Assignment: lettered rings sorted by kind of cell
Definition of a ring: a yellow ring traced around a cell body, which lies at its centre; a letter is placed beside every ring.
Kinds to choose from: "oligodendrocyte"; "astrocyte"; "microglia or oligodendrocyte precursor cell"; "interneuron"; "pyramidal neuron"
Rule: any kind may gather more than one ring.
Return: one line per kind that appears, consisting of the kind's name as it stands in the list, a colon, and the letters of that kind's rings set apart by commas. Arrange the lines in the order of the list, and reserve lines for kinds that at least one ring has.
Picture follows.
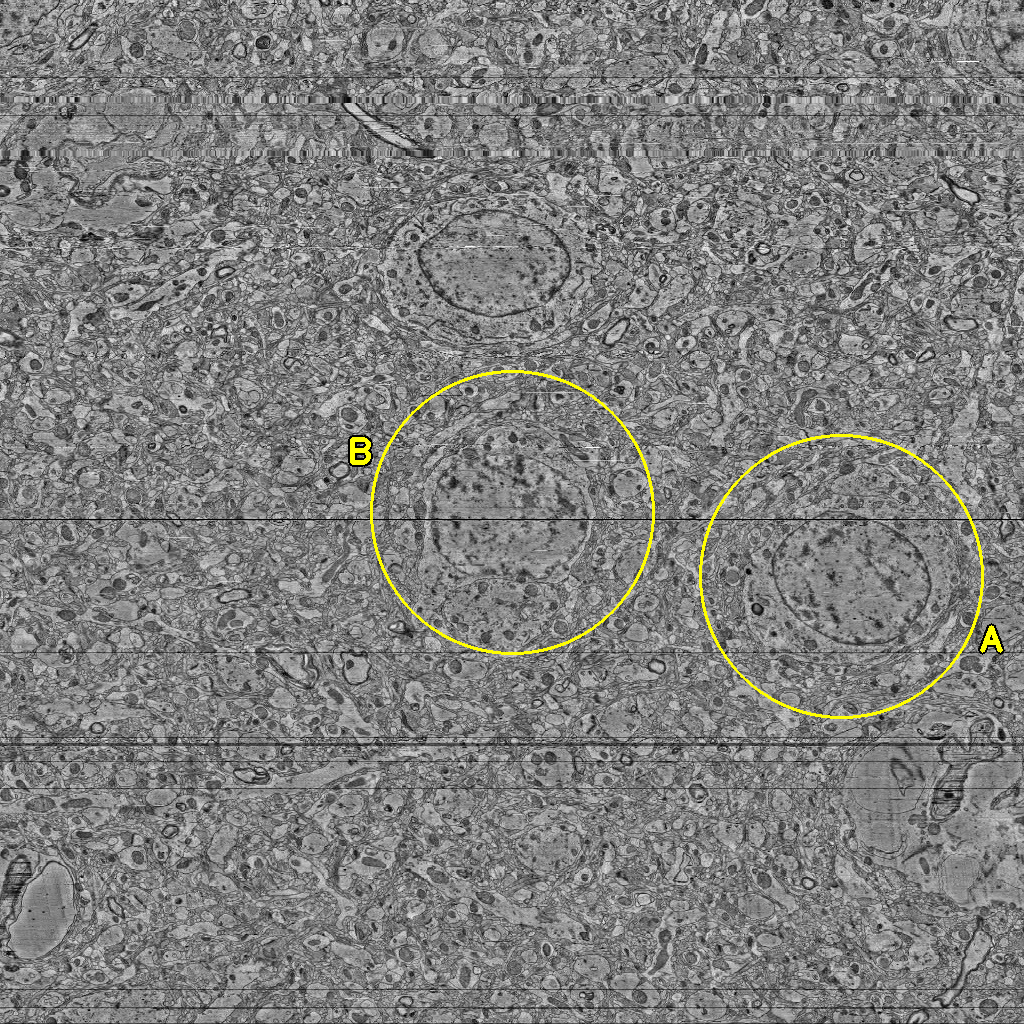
interneuron: B
pyramidal neuron: A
